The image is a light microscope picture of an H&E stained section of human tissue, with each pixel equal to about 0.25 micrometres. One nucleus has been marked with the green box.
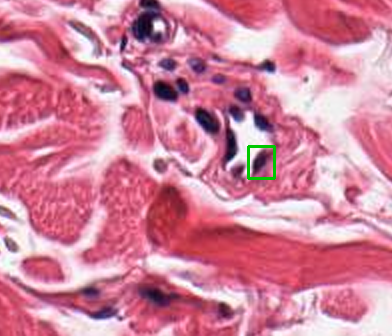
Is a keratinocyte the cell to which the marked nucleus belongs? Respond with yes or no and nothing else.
no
